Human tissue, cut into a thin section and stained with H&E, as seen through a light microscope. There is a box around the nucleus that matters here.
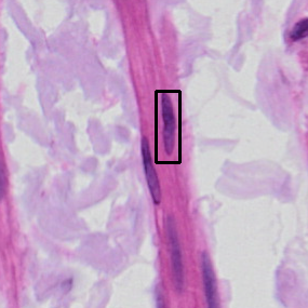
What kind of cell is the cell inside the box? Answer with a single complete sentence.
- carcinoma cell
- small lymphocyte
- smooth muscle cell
In this section of tissue, the cell inside the box is a smooth muscle cell.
